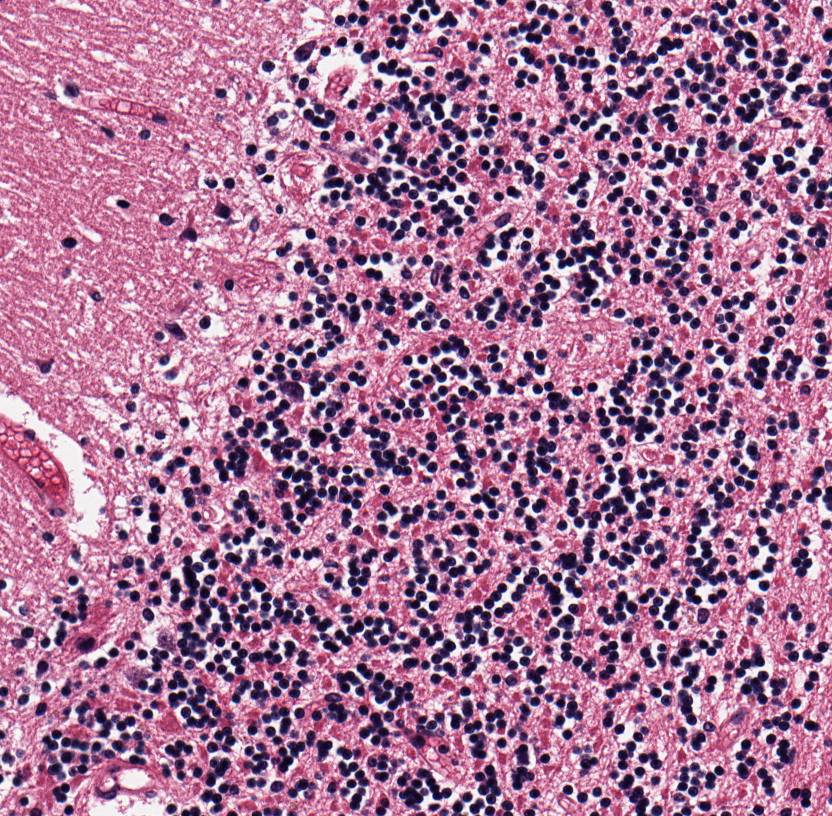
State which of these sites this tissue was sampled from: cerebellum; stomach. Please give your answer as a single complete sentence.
What this section contains is tissue from the cerebellum.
